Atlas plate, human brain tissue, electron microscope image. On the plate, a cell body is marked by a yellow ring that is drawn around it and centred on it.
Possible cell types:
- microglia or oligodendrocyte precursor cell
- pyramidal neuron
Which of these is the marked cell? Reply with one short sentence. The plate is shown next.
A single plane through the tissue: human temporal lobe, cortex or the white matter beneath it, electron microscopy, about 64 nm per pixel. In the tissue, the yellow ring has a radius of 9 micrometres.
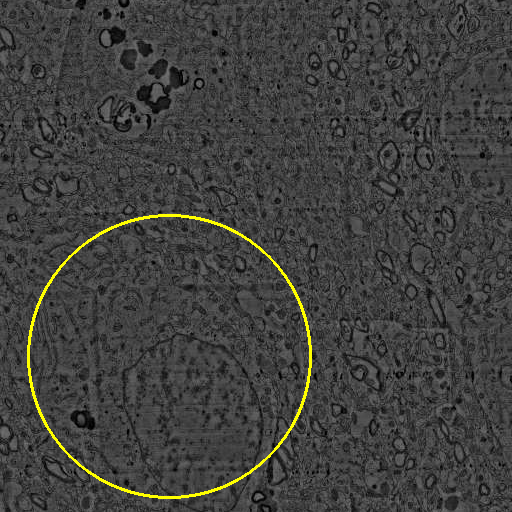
The marked cell is a pyramidal neuron.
